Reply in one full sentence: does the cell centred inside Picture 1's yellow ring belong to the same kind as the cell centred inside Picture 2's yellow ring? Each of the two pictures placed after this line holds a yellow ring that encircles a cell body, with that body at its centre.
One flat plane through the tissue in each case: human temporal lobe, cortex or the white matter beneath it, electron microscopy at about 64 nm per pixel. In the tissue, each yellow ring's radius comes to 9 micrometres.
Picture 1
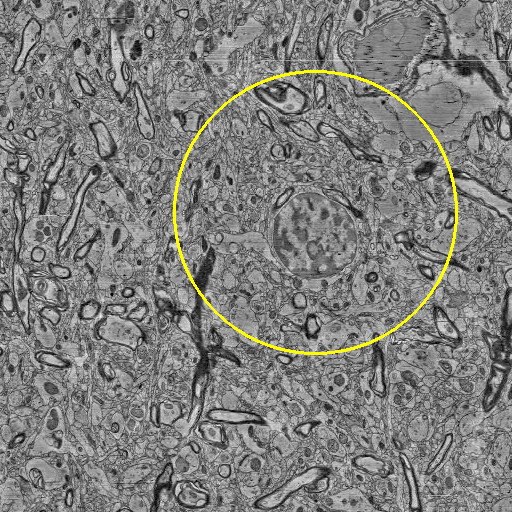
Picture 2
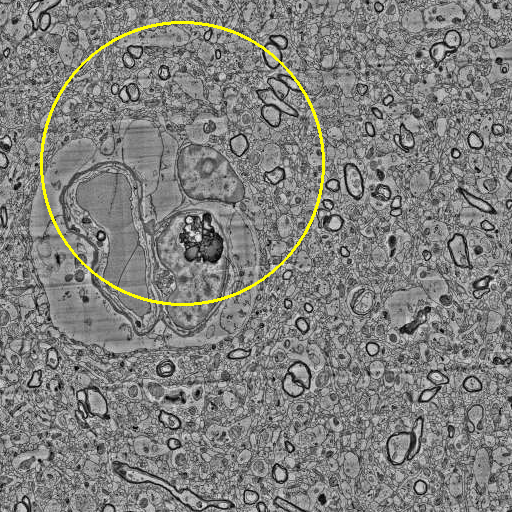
Yes, the ring-centred cells in Picture 1 and Picture 2 are of one and the same kind.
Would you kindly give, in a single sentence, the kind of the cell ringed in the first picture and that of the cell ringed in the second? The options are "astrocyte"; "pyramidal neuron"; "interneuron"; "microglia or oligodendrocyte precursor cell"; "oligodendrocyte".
Each of the two pictures has a microglial cell or oligodendrocyte precursor cell at the ring centre.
